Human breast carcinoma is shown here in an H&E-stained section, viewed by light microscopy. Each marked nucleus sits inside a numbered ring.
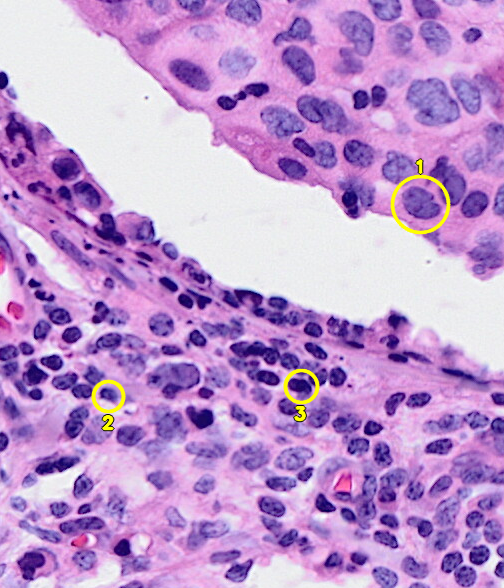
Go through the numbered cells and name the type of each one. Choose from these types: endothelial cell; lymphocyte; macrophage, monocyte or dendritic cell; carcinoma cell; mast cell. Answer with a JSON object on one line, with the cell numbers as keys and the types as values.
{"1": "carcinoma cell", "2": "lymphocyte", "3": "lymphocyte"}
